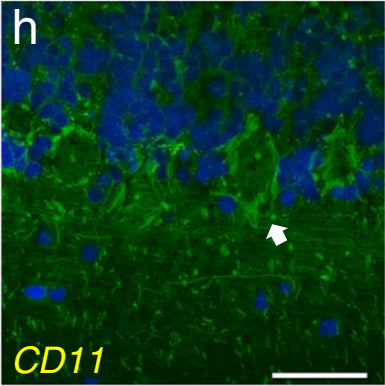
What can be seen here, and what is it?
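This is cerebellar cortex with the densely packed blue nuclei of the granular layer above and the paler molecular layer below, with large Purkinje cell bodies lined up along the border between them. Green fibrous strands wrap around the Purkinje cell bodies like a basket, outlining their shape while their interior stays dark. Many fine green fibres run through the molecular layer, and only a few scattered blue nuclei lie there.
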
